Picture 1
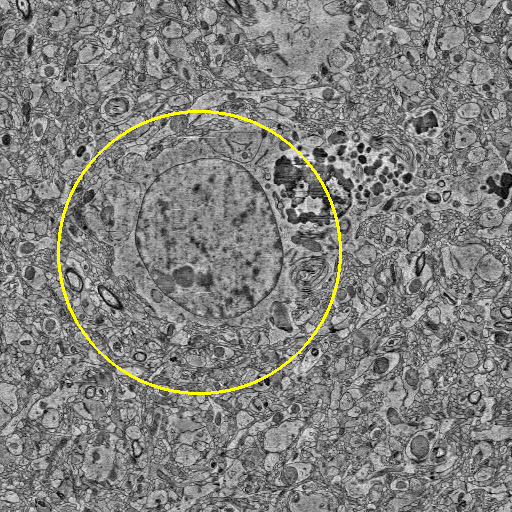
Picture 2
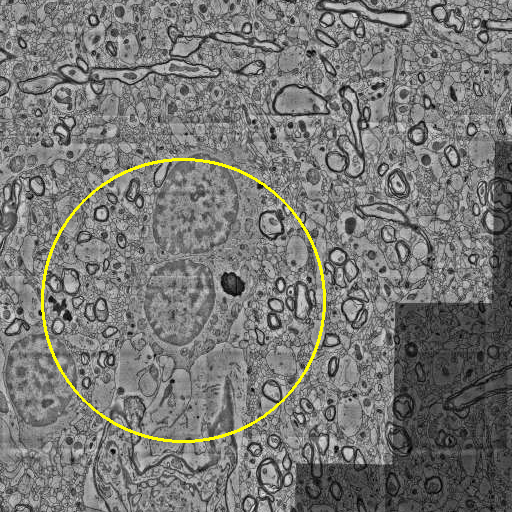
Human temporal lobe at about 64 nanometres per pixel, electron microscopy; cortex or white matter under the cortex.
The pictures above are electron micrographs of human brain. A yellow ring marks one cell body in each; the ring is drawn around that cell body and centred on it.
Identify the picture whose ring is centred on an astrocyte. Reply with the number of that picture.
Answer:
1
